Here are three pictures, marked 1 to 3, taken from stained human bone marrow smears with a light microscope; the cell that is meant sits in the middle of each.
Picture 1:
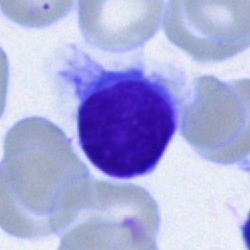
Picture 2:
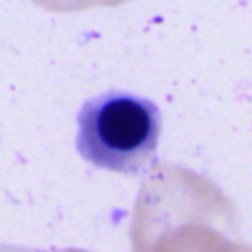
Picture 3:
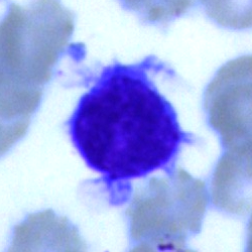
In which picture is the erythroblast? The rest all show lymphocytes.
2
